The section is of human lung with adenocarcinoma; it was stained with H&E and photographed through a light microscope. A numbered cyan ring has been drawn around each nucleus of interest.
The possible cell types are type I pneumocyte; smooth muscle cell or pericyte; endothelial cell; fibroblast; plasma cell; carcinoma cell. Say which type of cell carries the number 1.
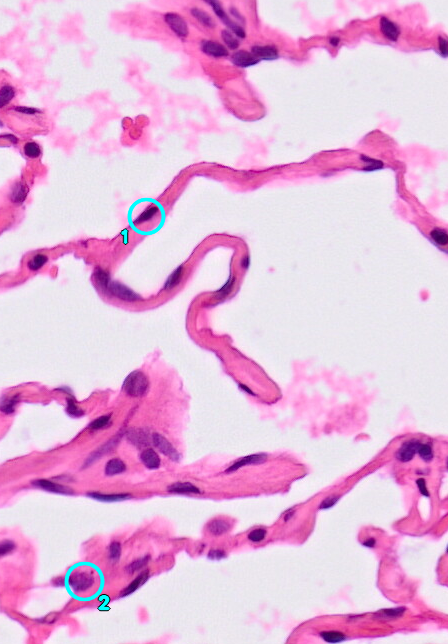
endothelial cell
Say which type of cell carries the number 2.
type I pneumocyte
